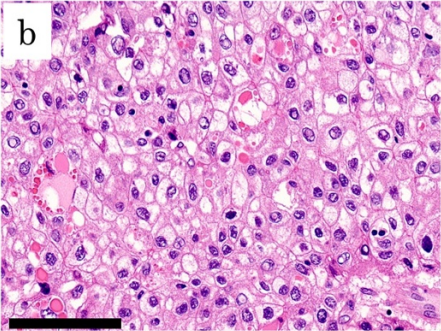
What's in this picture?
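Poorly differentiated carcinoma cells in a solid sheet have pale, clear cytoplasm outlined by thin pink cell membranes. Nuclei are round to oval with visible nucleoli and vary in size, some being large and dark. Several cells hold round, glassy, bright pink intracytoplasmic hyaline droplets.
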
